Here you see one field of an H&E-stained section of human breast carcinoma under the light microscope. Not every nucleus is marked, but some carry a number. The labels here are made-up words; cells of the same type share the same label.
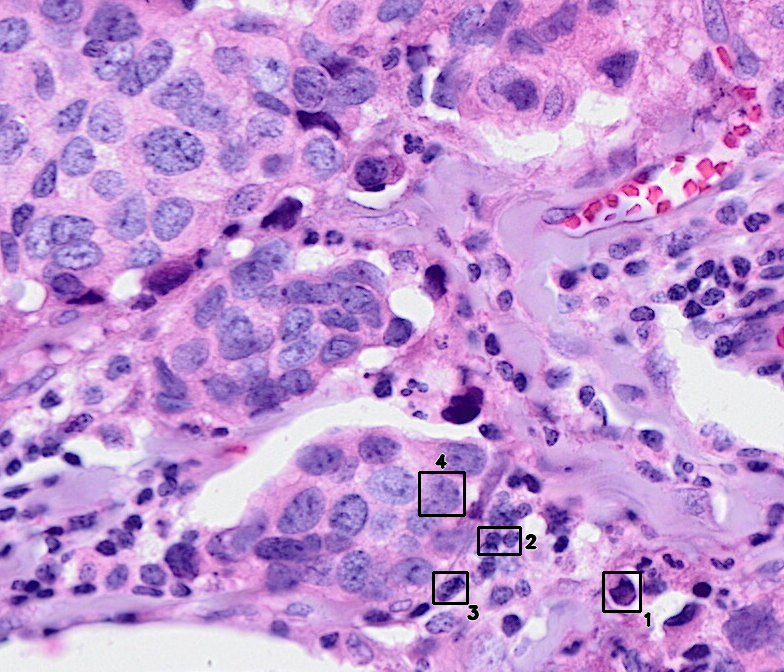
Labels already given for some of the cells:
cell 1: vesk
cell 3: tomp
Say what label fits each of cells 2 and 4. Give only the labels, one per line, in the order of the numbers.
tomp
vesk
